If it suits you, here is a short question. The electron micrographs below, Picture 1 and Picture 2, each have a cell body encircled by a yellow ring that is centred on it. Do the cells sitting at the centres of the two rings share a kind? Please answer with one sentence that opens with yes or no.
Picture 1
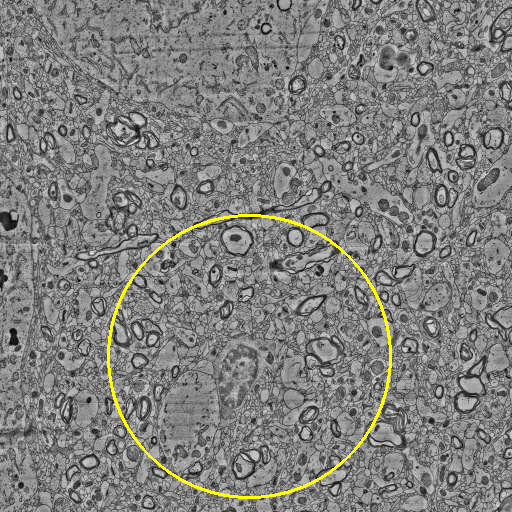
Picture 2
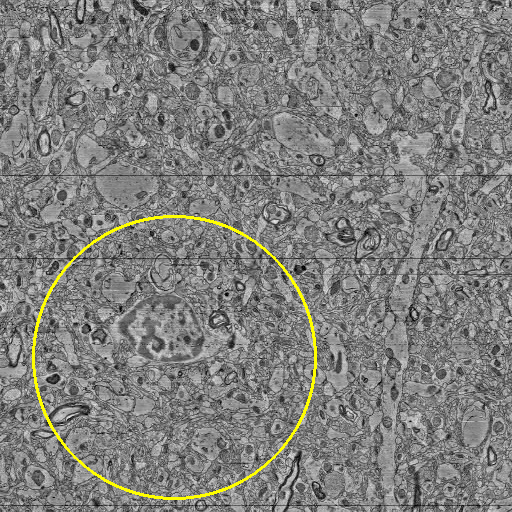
No, the two cells sitting at the ring centres fall into two kinds.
